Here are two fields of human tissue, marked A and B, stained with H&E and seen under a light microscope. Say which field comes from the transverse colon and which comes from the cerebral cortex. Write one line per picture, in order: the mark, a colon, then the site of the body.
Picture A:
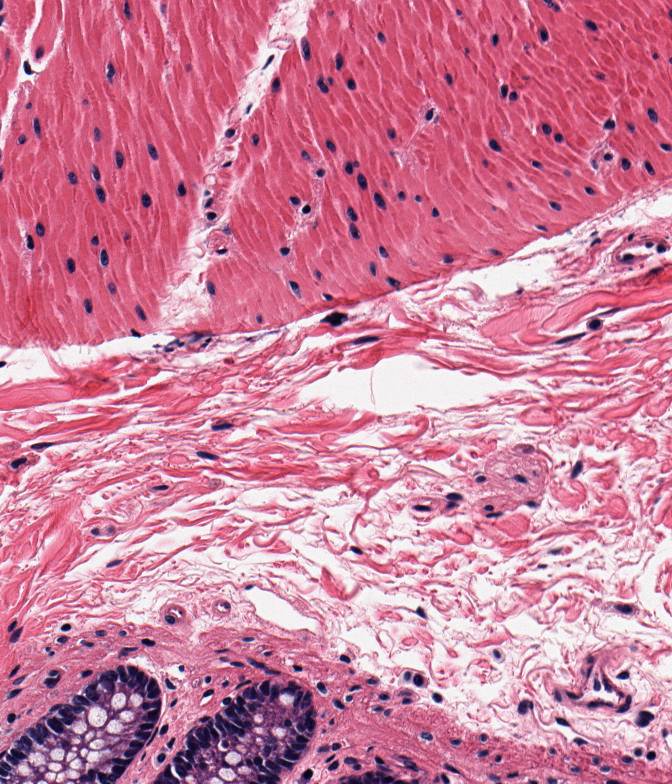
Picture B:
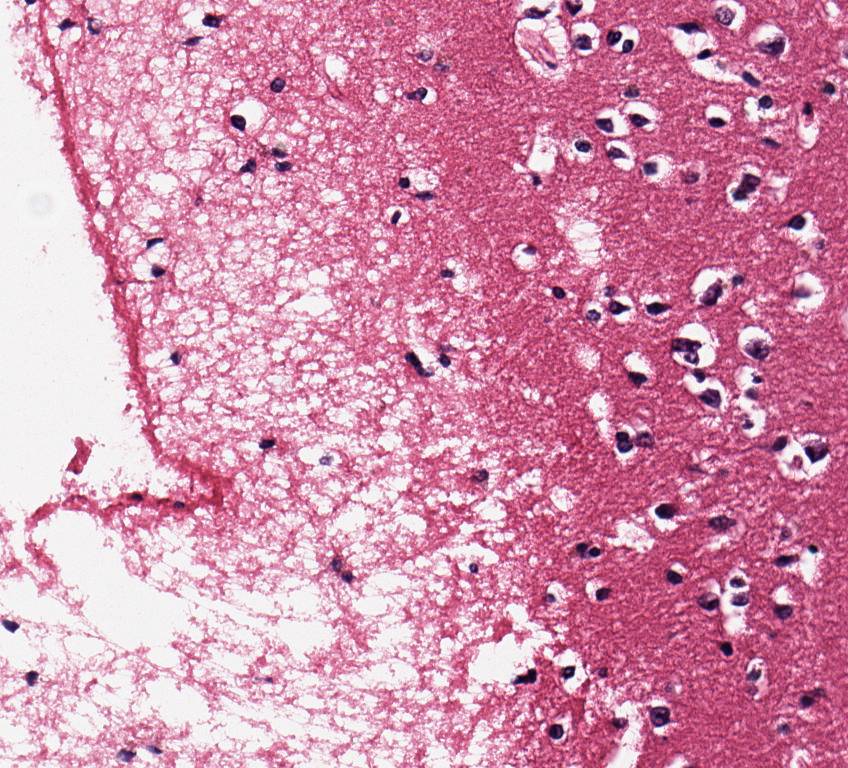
A: transverse colon
B: cerebral cortex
